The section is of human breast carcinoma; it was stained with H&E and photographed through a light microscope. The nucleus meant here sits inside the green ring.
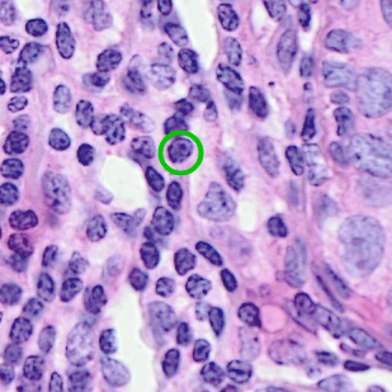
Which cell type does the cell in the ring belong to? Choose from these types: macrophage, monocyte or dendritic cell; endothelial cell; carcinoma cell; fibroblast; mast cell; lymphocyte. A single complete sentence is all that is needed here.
In cellular terms, the cell in the ring is a lymphocyte.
